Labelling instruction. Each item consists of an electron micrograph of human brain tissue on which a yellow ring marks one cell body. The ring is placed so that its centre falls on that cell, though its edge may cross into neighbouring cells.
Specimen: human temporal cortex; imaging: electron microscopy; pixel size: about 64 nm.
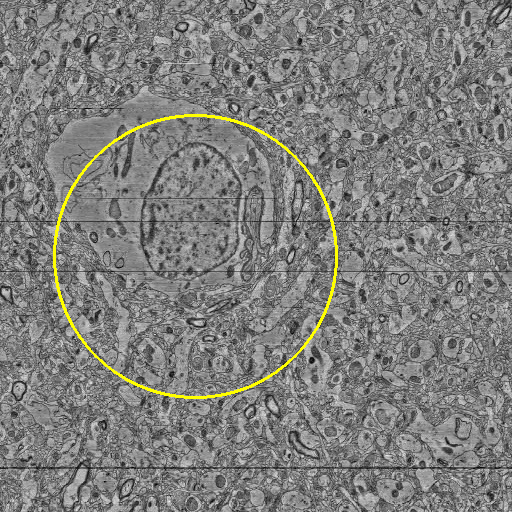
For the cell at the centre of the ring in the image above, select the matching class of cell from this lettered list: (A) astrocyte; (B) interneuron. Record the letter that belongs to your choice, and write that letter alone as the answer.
A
